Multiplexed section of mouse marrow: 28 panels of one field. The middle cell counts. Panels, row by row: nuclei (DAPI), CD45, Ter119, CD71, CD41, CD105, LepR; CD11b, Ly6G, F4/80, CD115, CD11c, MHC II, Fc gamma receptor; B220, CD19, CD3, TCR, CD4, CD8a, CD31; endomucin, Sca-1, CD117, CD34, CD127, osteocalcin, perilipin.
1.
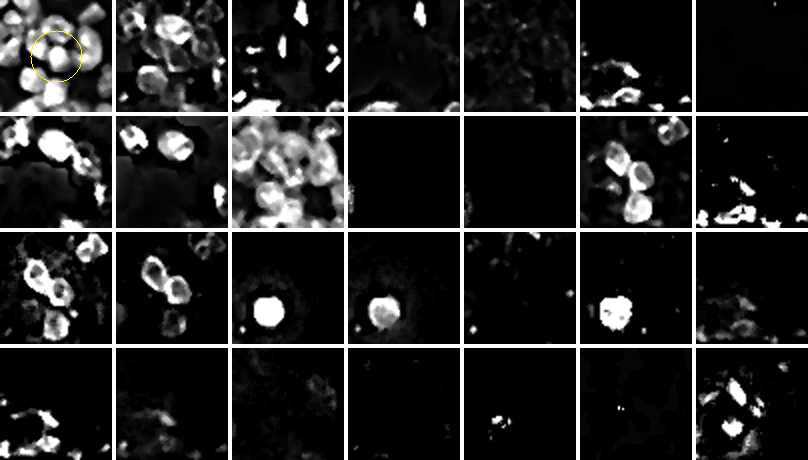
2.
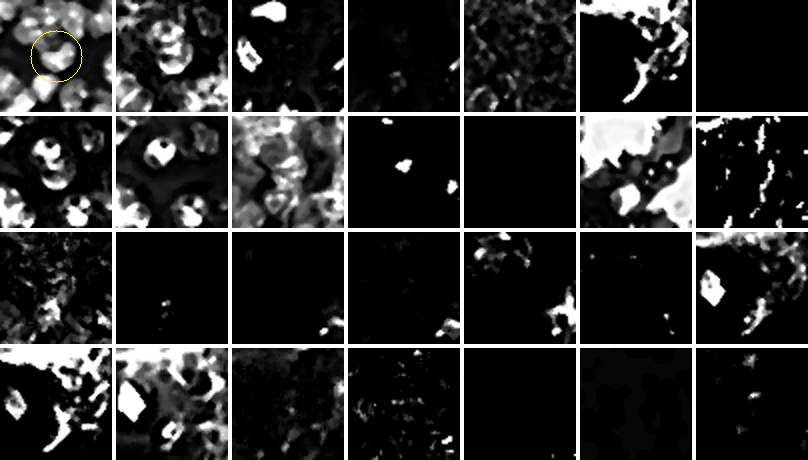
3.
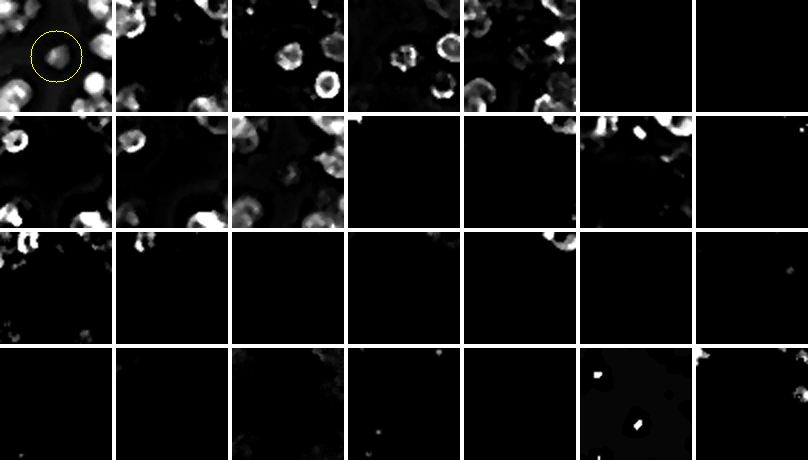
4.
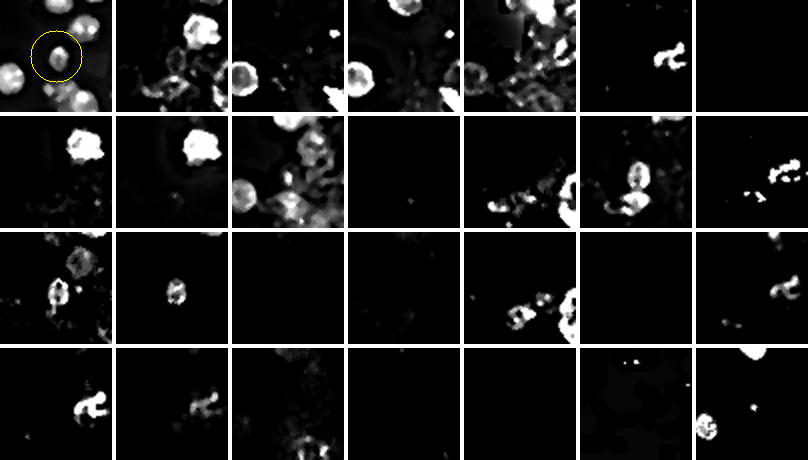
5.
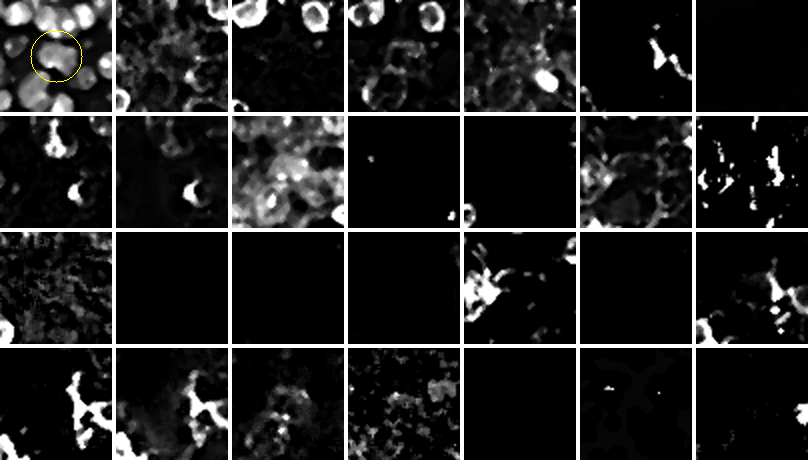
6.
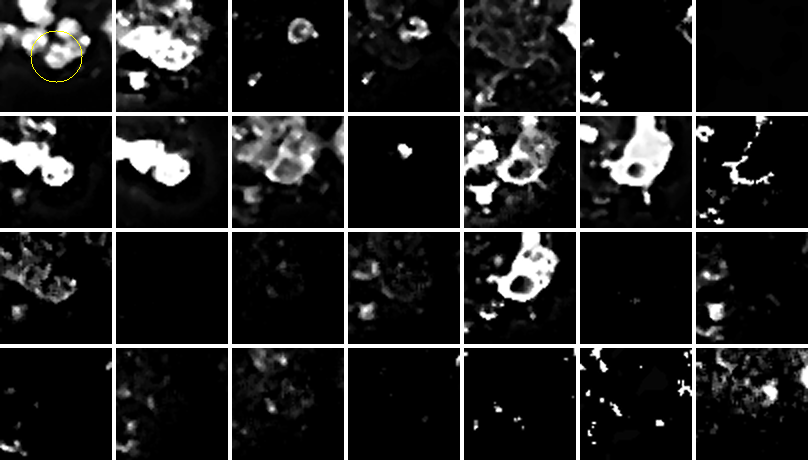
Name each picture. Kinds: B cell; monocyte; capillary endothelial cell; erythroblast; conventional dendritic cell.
(1) B cell
(2) monocyte
(3) erythroblast
(4) B cell
(5) capillary endothelial cell
(6) conventional dendritic cell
